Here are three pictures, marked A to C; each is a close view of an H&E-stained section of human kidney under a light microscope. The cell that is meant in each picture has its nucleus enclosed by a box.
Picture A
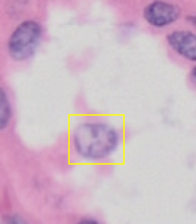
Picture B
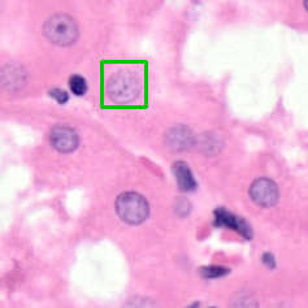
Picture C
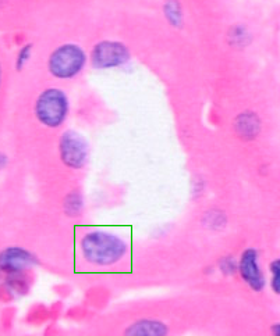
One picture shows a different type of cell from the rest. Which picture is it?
B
